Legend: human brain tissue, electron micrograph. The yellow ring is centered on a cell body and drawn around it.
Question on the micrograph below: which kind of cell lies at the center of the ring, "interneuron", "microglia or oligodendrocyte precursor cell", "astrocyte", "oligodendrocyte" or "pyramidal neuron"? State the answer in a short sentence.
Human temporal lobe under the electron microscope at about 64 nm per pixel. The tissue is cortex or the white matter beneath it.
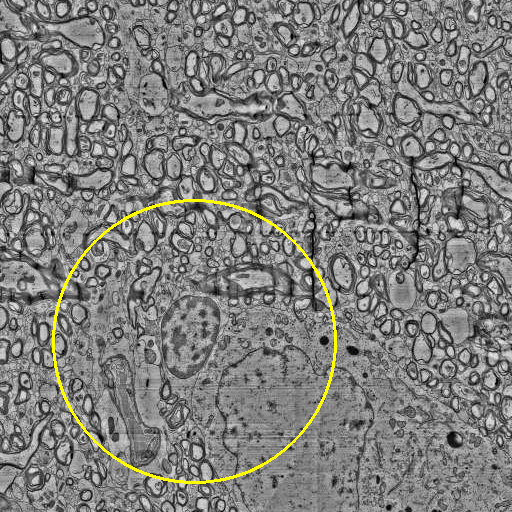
At the center of the ring lies a microglial cell or oligodendrocyte precursor cell.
